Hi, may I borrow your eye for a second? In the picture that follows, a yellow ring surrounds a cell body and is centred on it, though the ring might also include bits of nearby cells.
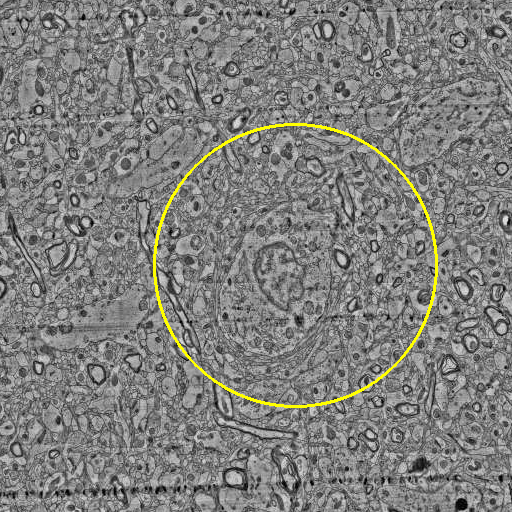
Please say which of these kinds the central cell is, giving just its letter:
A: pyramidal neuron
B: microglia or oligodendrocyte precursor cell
A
